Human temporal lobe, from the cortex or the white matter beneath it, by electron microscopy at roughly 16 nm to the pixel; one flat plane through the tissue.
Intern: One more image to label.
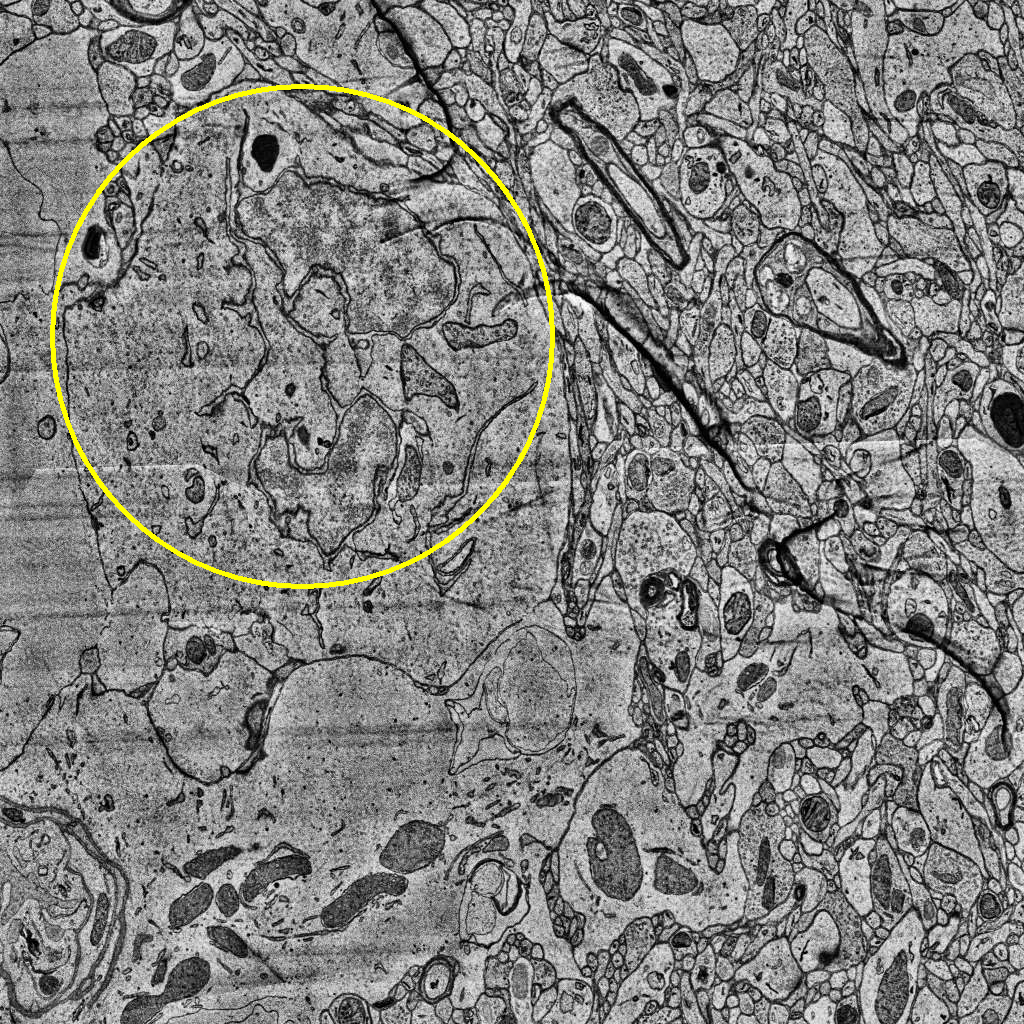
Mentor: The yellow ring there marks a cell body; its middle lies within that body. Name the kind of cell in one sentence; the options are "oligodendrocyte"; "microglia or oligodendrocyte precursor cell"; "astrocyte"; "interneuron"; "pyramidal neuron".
The ring marks the cell body of an interneuron.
